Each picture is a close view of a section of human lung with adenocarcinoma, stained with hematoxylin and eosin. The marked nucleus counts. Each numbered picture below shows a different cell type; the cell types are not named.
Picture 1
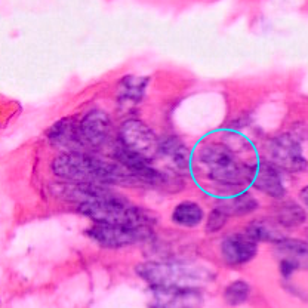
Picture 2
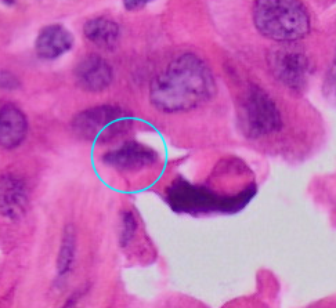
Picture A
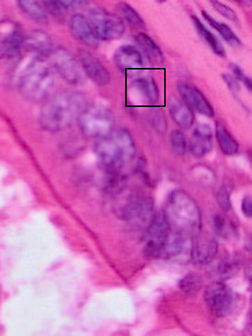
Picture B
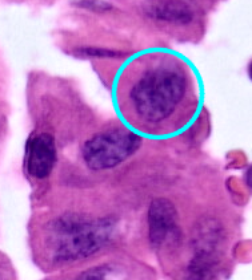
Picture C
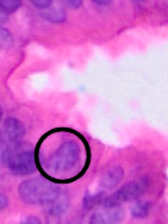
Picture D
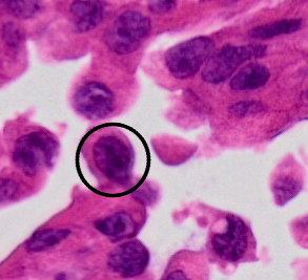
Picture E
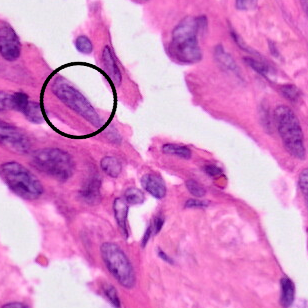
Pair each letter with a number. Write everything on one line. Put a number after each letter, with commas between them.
A 1, B 2, C 1, D 2, E 2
